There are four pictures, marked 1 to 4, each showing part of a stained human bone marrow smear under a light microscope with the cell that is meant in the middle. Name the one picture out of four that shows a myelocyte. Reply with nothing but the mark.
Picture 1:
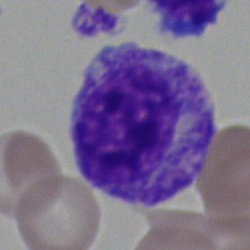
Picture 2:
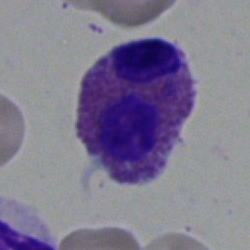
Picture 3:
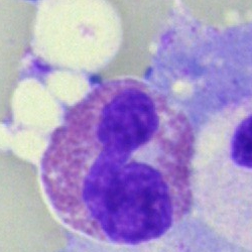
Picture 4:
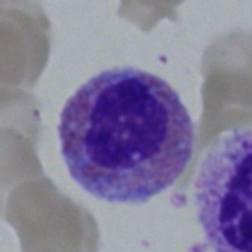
1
